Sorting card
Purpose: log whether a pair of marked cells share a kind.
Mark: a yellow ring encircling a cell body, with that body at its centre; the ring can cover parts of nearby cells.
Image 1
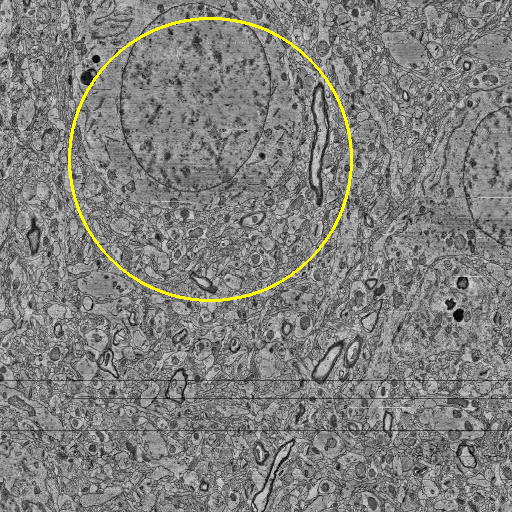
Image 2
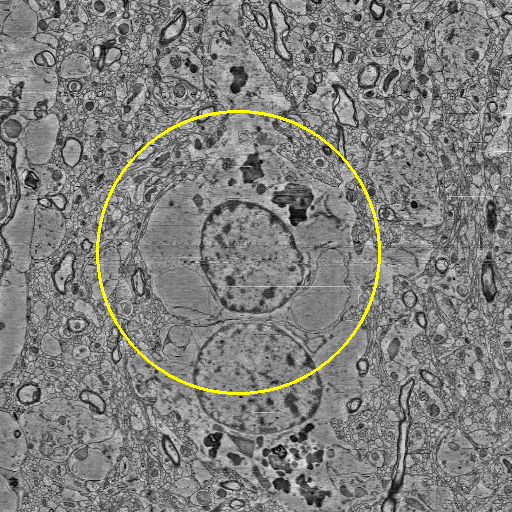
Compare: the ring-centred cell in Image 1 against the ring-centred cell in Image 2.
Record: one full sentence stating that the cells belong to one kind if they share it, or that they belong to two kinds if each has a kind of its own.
Across Images 1 and 2, the two ring-centred cells belong to two kinds.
